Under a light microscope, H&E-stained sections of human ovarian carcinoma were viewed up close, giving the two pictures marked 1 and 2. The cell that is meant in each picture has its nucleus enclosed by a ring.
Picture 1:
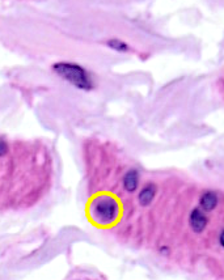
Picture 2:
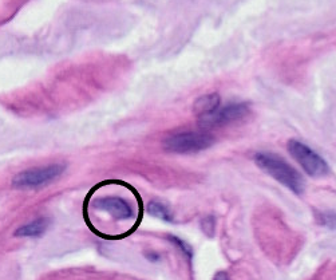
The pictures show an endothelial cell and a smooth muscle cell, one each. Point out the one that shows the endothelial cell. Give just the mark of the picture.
2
